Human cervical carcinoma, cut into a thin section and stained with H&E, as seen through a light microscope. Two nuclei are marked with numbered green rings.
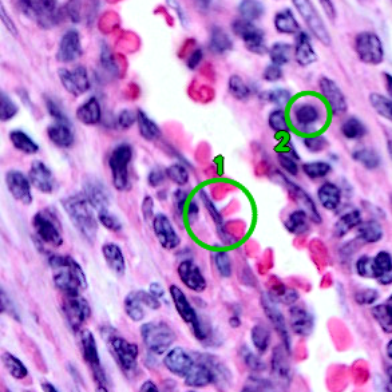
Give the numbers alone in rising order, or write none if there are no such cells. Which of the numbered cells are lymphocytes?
2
